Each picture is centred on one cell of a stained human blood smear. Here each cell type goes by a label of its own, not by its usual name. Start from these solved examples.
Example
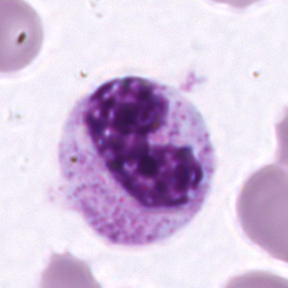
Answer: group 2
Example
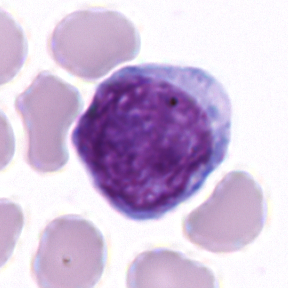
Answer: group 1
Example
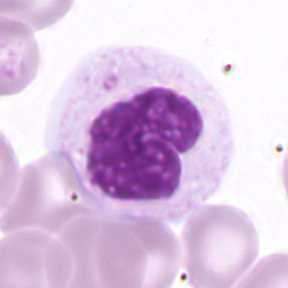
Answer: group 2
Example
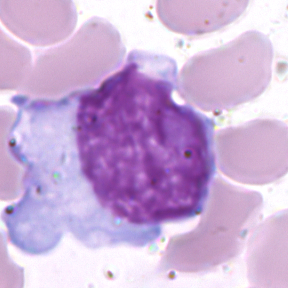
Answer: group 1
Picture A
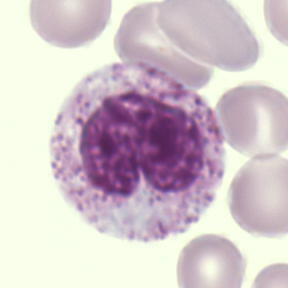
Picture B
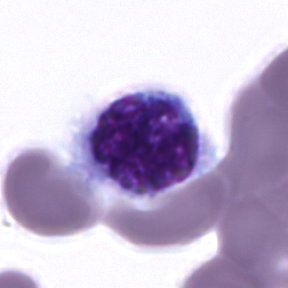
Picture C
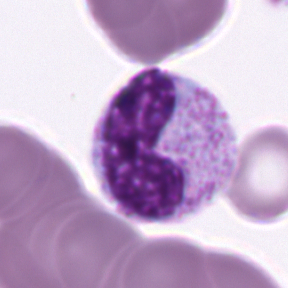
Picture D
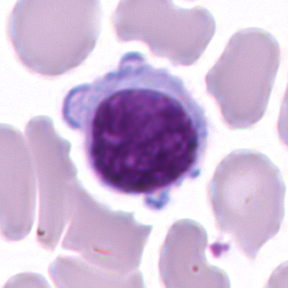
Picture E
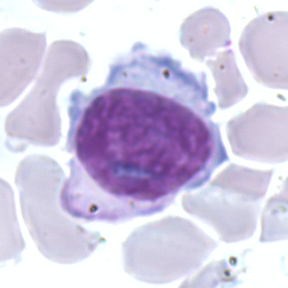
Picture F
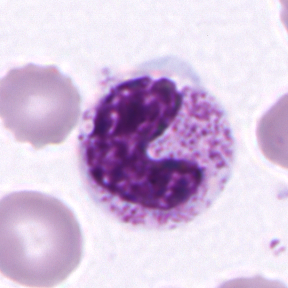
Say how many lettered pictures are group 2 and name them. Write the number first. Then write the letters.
3: A, C, F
